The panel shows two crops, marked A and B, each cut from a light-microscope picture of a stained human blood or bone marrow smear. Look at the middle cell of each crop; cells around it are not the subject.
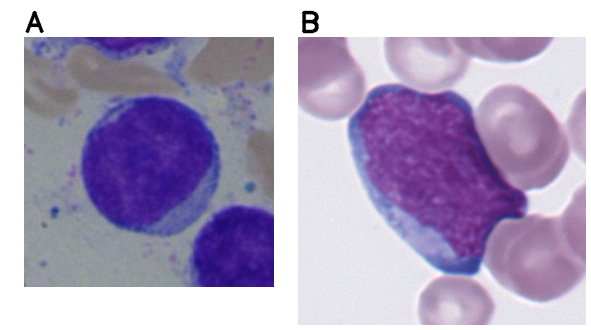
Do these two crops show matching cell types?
yes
